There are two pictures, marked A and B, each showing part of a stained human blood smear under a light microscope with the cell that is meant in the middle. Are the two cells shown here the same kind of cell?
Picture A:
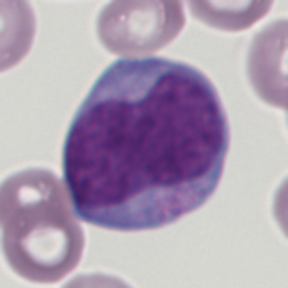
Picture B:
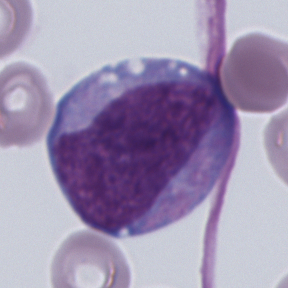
yes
